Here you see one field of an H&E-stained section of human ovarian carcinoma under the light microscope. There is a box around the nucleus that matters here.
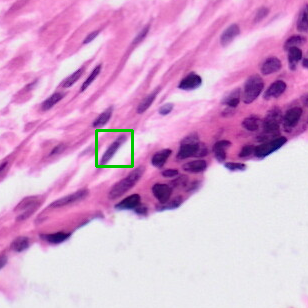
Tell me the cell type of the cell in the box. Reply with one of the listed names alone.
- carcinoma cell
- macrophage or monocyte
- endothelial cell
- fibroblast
fibroblast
